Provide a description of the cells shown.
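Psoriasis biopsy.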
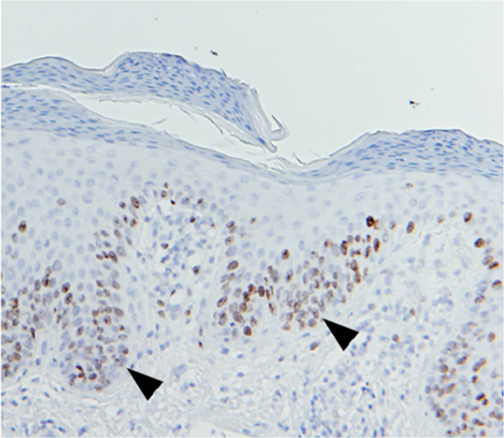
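Thickened epidermis with elongated ridges and a detached cornified layer above. Numerous brown-stained nuclei are packed in the basal and suprabasal layers along the ridges. The upper epidermal layers have blue nuclei only.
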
